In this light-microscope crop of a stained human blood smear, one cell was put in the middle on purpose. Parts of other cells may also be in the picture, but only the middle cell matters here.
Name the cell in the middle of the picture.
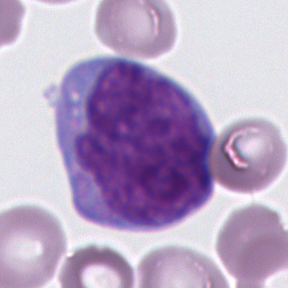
atypical promyelocyte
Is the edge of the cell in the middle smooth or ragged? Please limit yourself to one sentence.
There are no projections here; the outline is simply smooth.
